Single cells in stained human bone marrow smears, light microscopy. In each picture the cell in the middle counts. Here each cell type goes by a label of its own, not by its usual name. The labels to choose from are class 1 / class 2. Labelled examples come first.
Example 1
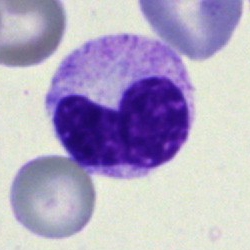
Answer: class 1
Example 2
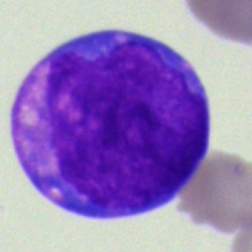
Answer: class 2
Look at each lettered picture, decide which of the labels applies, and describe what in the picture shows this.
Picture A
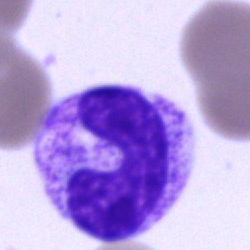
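class 1. Reason: The nucleus is deeply indented into a curved, horseshoe-like shape whose notch opens to the left.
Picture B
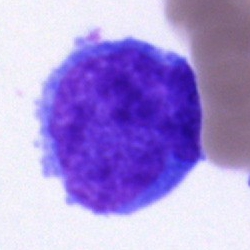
class 2. Reason: The cytoplasm forms only a thin rim around the nucleus.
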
